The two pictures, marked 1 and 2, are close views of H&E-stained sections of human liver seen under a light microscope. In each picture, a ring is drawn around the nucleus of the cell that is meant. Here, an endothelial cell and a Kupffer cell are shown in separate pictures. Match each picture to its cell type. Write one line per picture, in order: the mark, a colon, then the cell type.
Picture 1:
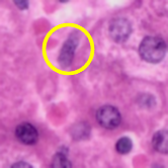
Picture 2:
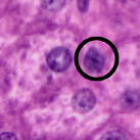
1: Kupffer cell
2: endothelial cell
